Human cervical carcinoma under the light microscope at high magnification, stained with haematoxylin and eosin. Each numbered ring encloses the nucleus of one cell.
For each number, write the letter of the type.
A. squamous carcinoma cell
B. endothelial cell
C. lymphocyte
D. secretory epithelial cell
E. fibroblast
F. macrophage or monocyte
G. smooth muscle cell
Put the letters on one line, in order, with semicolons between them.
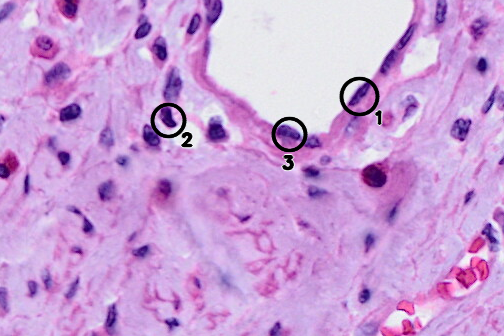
B; C; B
